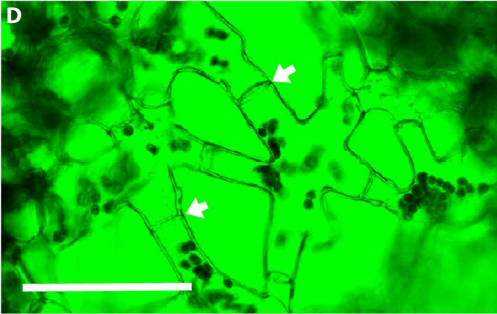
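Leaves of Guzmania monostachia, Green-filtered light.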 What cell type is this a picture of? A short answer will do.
Stellate mesophyll cells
